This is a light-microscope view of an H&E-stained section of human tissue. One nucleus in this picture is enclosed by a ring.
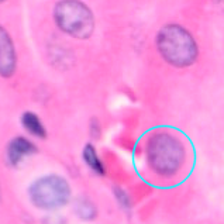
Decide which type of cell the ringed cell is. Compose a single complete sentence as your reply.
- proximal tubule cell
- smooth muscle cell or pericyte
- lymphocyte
It is a proximal tubule cell that the ringed cell represents.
